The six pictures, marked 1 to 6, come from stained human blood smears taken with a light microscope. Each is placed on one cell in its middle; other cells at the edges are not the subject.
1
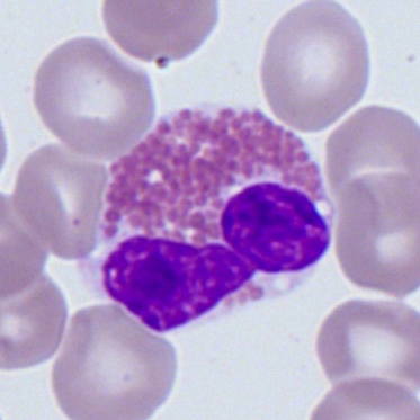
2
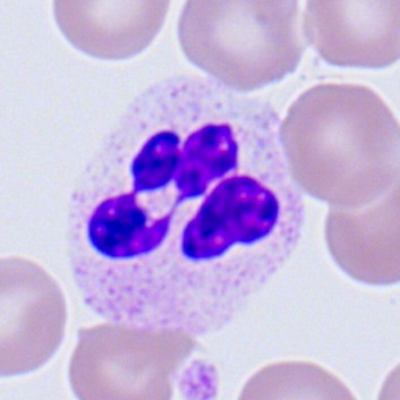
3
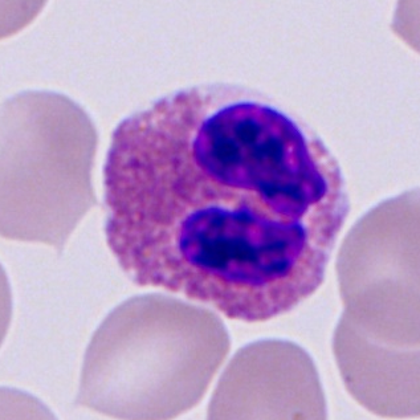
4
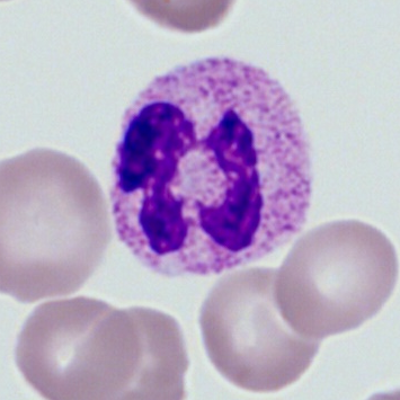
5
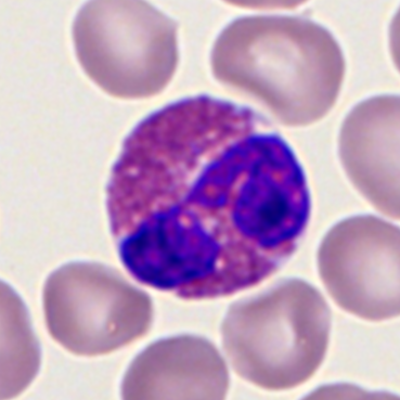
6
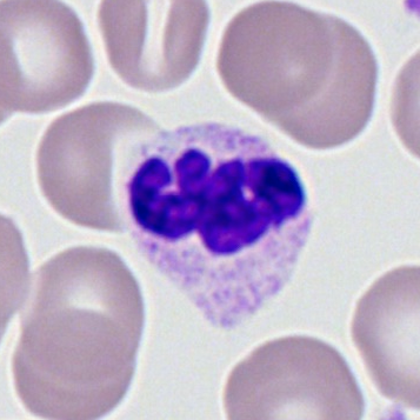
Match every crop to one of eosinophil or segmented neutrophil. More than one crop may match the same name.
1: eosinophil
2: segmented neutrophil
3: eosinophil
4: segmented neutrophil
5: eosinophil
6: segmented neutrophil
